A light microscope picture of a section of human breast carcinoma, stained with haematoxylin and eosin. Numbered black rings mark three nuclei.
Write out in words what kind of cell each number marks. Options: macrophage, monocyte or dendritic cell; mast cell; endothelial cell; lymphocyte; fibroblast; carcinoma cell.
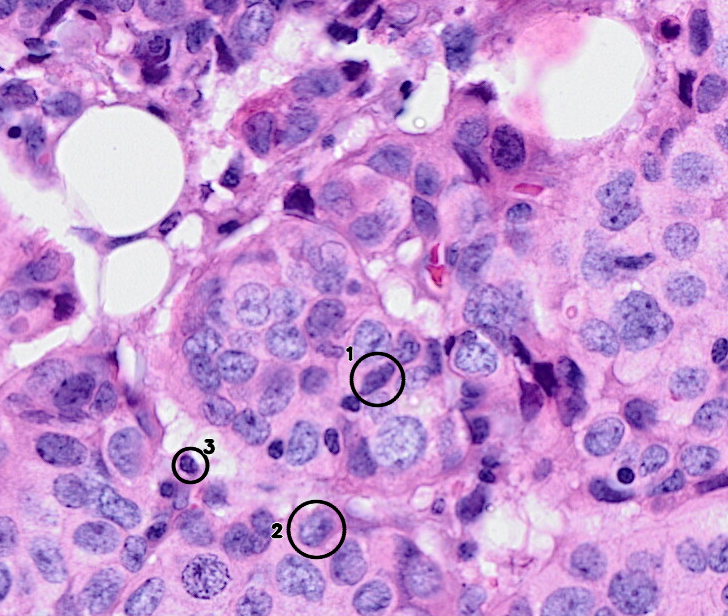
Cells 1 and 2 are carcinoma cells. Cell 3 is a lymphocyte.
